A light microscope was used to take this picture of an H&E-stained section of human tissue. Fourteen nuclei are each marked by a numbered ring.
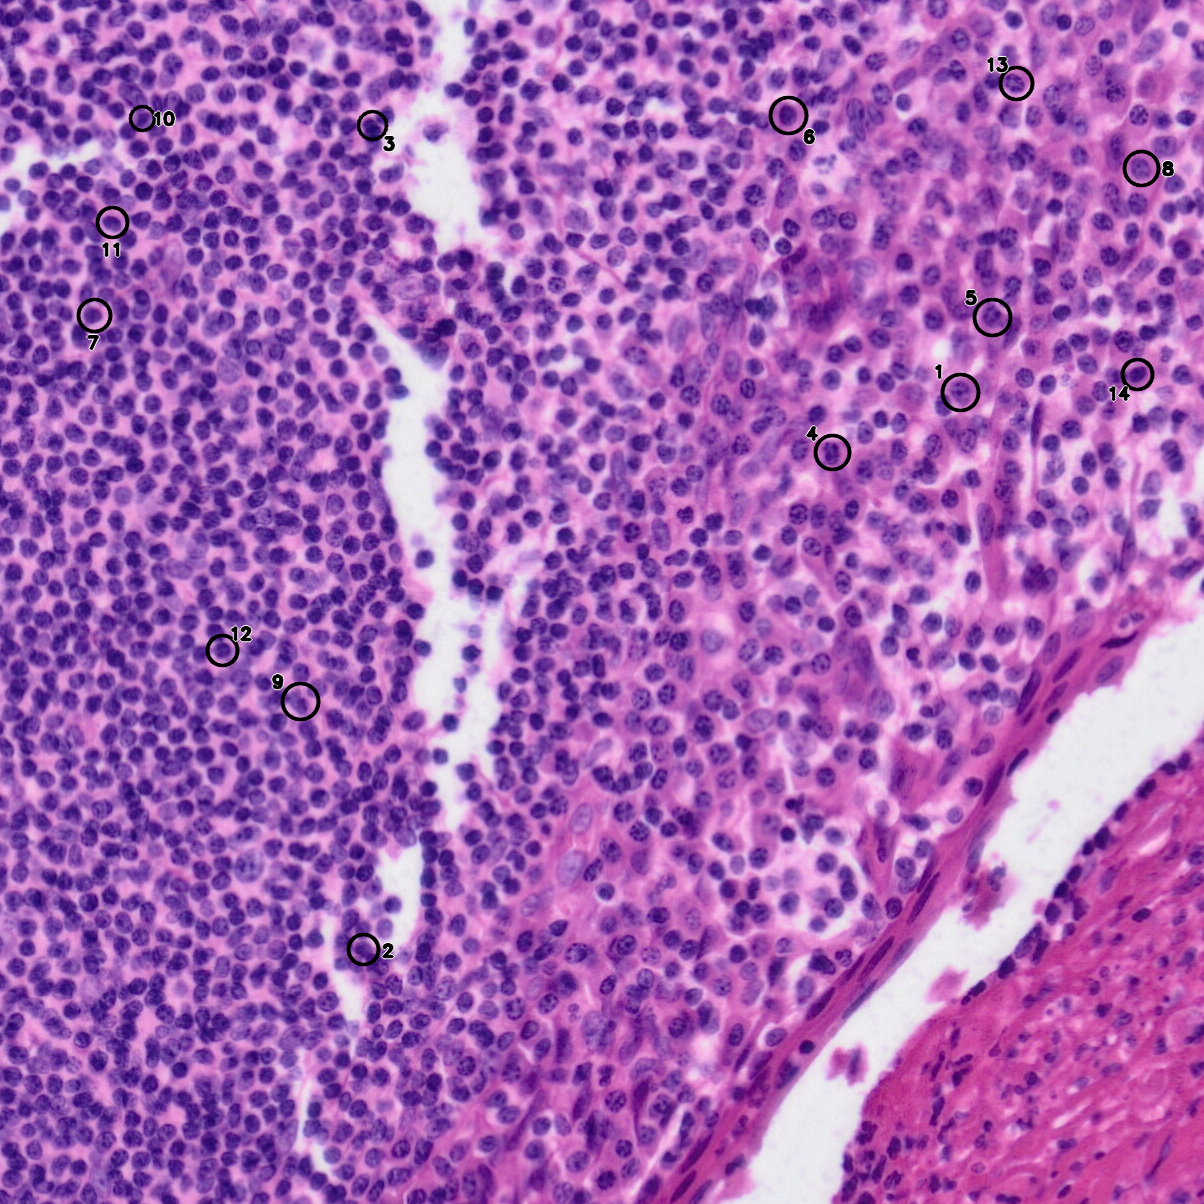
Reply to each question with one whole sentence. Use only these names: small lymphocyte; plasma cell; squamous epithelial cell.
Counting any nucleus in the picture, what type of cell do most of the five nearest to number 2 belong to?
The majority of the five nuclei closest to number 2 belong to small lymphocytes.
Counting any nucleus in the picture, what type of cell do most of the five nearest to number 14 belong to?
Most of the five nuclei nearest to number 14 are those of plasma cells.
